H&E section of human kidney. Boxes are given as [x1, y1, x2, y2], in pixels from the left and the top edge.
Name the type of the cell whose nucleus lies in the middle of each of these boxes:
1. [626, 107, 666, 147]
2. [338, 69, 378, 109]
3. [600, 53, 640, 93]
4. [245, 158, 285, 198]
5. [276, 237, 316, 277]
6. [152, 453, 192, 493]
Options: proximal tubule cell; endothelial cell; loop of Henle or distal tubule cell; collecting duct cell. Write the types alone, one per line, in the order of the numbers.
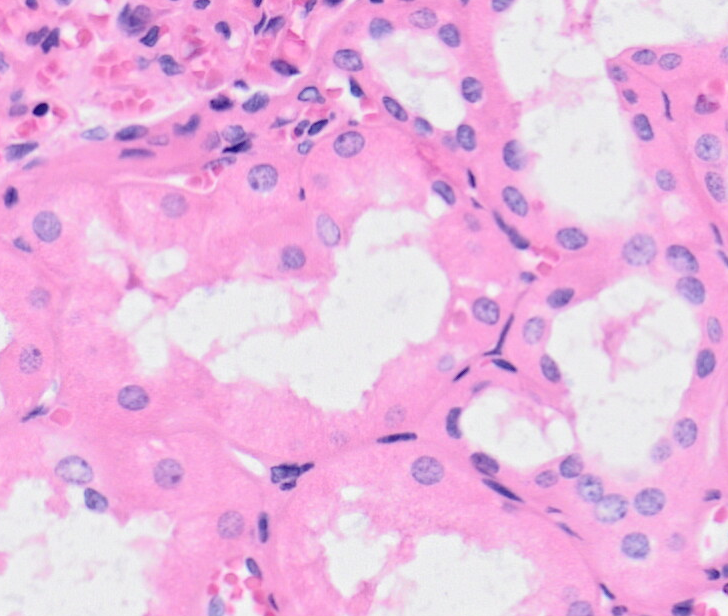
loop of Henle or distal tubule cell
endothelial cell
loop of Henle or distal tubule cell
proximal tubule cell
proximal tubule cell
proximal tubule cell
